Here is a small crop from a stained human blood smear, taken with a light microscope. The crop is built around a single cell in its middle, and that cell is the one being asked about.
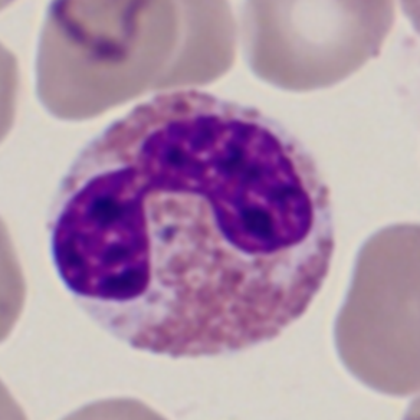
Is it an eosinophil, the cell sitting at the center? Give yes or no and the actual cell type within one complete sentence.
Yes, the cell at the midpoint of the crop is an eosinophil.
